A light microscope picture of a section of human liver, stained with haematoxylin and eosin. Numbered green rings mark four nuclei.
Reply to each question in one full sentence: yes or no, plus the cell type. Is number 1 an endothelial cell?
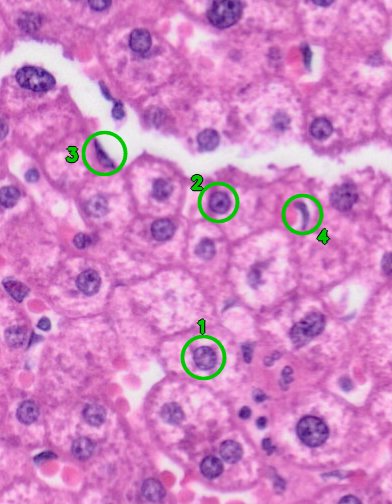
No, cell 1 does not represent an endothelial cell; it represents a hepatocyte.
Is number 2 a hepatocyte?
Yes, number 2 marks a cell that is a hepatocyte.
